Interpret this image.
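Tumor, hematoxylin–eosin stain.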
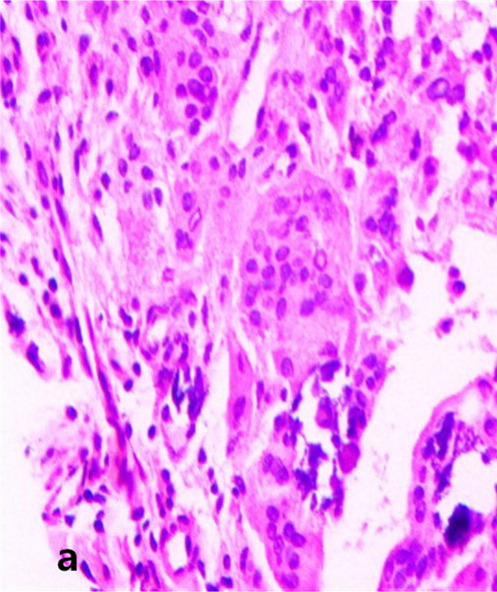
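The giant cells stand out as large masses of pale pink cytoplasm, each holding many round-to-oval, purple nuclei crowded together. Around them lie smaller cells, some spindle-shaped, others rounder, each with a single dark nucleus, set in loose pink stroma. Clear spaces run through the field, and the tissue at their edges is fragmented, with some cells detached into the gaps.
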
